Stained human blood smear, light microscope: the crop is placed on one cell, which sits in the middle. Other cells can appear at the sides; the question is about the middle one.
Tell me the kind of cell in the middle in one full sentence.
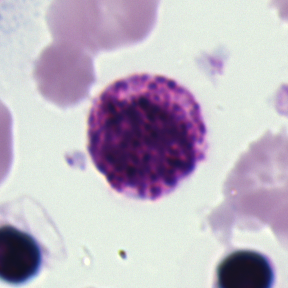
The cell of interest, in the center, is a basophil.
